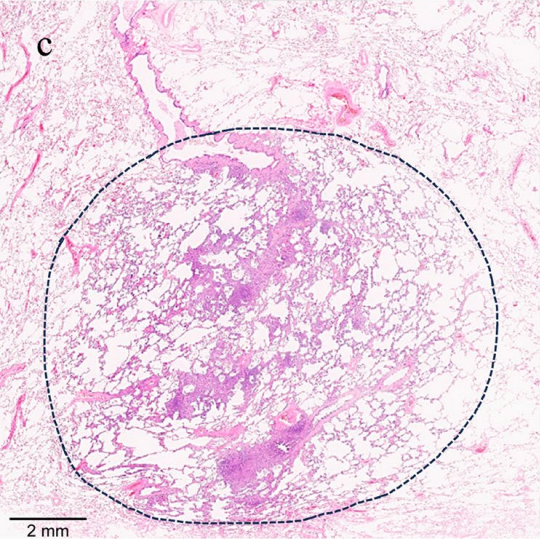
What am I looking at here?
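At low power this is a lung tumor that spreads along the alveolar walls in a lepidic pattern, outlined by a dotted line. Inside the outline the alveolar walls are thickened and dark purple, yet the airspaces stay open, so the lung's lacework is kept rather than replaced by a solid mass. A few denser purple patches lie in the middle, and the surrounding lung has thin pale walls with vessels and pink connective tissue strands.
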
